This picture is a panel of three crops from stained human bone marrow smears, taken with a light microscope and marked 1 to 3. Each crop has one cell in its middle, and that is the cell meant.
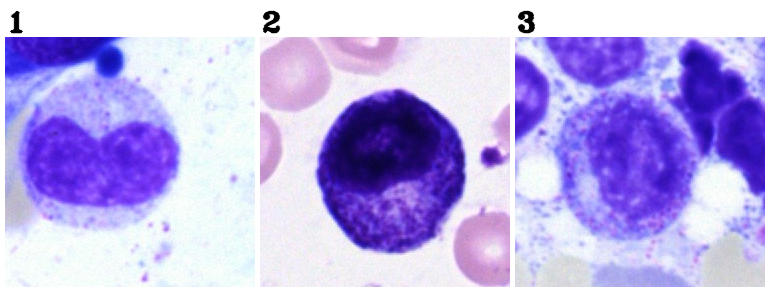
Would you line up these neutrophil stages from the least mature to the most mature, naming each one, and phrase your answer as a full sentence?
The order from least to most mature is crop 2 (a promyelocyte), crop 3 (a metamyelocyte) and crop 1 (a band neutrophil).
